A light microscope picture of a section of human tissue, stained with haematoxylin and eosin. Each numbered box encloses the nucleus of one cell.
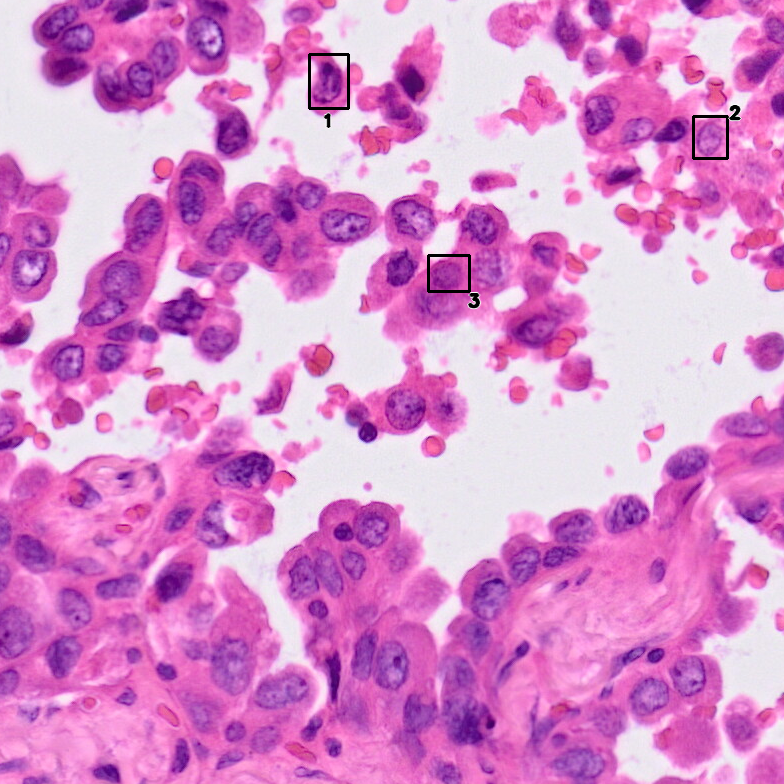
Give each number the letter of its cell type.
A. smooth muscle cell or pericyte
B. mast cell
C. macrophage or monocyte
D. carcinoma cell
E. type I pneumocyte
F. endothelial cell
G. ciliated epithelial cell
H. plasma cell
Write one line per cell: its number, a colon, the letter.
1: D
2: C
3: D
